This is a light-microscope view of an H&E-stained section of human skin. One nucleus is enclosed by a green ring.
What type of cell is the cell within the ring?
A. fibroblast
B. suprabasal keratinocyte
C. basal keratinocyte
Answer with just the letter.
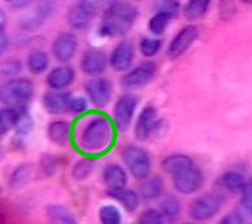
C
